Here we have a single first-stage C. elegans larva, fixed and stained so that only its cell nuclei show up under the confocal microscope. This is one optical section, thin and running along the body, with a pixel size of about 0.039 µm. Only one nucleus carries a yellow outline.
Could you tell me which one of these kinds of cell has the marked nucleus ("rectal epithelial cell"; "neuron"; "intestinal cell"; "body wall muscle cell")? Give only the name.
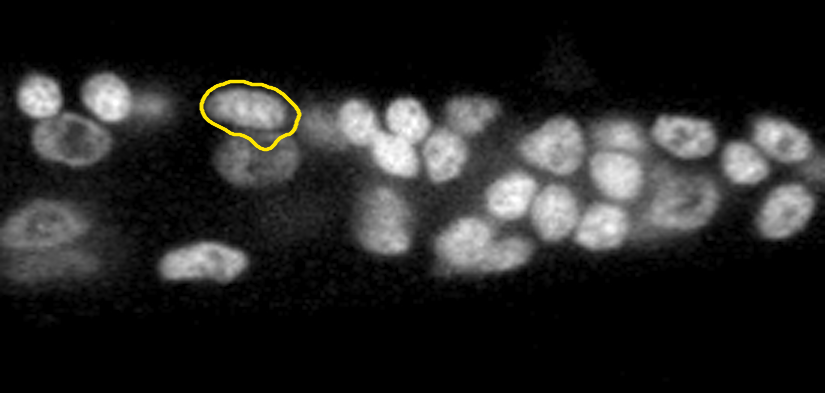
intestinal cell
